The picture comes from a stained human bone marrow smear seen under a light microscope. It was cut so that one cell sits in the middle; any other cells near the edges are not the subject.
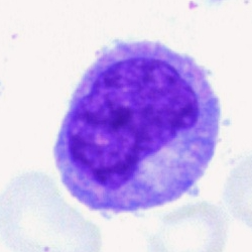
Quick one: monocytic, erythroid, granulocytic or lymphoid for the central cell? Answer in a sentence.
The cell in the middle of the crop belongs to the granulocytic lineage.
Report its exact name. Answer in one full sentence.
In this smear crop, the middle cell is a promyelocyte.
